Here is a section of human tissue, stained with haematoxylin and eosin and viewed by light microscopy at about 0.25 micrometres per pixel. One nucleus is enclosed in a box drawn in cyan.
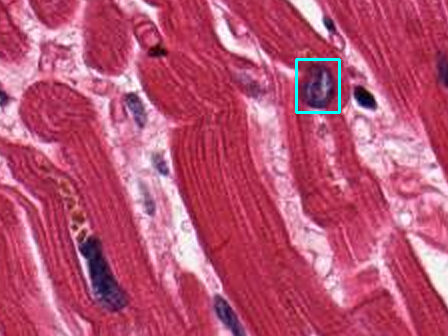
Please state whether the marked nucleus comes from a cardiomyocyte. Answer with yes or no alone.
yes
